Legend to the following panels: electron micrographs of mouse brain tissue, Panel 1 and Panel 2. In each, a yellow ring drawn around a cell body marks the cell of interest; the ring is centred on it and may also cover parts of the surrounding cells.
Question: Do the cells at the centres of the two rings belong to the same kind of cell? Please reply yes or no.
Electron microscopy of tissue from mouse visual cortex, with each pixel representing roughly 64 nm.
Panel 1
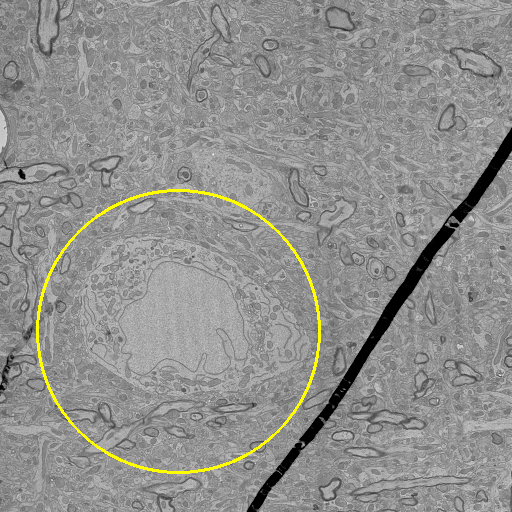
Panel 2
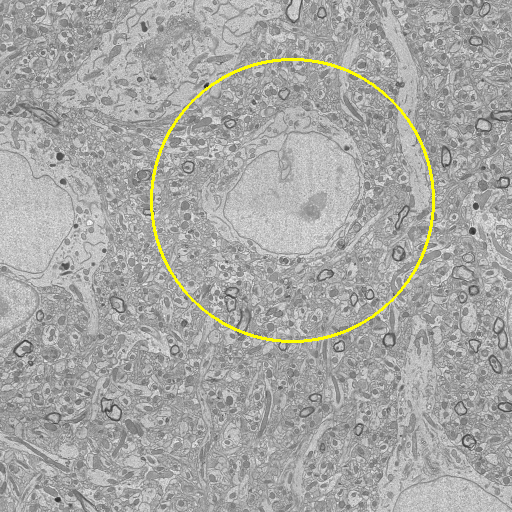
yes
